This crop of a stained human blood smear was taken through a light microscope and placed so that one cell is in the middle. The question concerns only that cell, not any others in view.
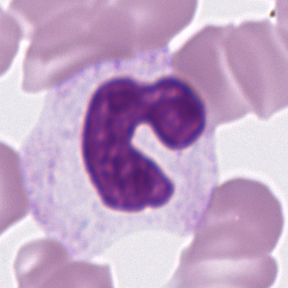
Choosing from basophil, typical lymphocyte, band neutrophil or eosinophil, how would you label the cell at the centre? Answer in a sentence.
Regarding the central cell, it is a band neutrophil.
